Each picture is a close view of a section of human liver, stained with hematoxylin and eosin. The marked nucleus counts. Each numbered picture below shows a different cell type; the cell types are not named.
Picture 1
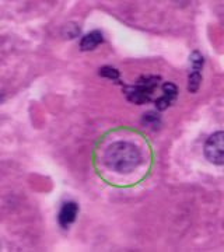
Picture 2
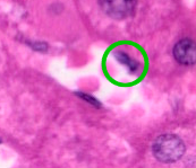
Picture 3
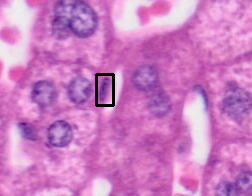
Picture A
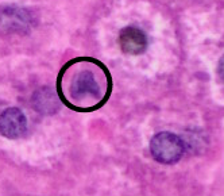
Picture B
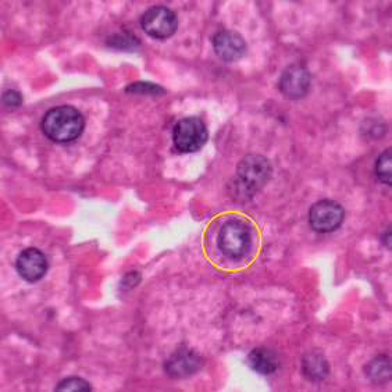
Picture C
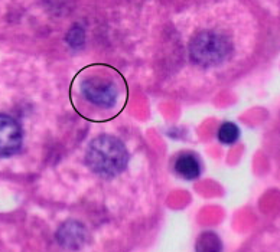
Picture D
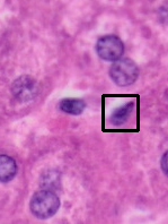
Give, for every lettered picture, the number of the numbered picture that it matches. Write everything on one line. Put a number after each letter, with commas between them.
A 2, B 1, C 2, D 2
